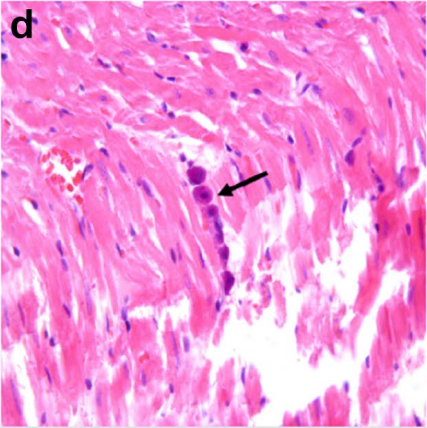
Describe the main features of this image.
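Heart muscle is cut along its fibres, with pink, parallel muscle fibres that carry elongated central nuclei, and a widened pale space runs between fibre bundles. Beside this space lies a short column of rounded cells with dense, deep purple cytoplasm. These cells are much larger and rounder than the muscle nuclei. Red blood cells gather in a vessel at the left.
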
